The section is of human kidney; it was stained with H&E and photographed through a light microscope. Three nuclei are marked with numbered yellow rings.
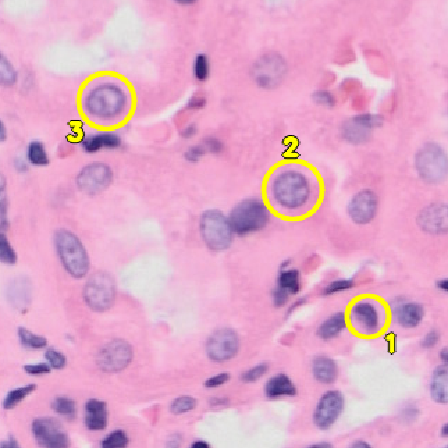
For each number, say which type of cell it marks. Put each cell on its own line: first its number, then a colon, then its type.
1: collecting duct cell
2: proximal tubule cell
3: proximal tubule cell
